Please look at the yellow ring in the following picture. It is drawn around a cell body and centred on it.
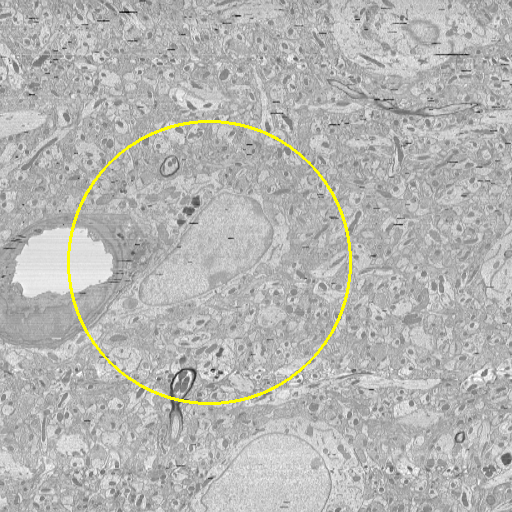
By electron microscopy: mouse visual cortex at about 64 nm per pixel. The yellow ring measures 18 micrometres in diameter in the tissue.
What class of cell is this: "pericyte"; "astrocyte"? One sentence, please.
The ring surrounds the cell body of an astrocyte.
